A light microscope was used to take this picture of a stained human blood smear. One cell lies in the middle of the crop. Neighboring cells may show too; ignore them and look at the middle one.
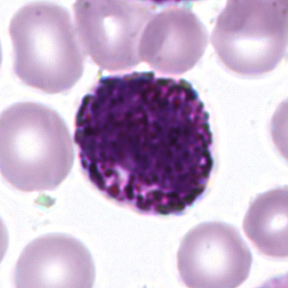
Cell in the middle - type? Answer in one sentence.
The cell under consideration, at the middle of the crop, is a basophil.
